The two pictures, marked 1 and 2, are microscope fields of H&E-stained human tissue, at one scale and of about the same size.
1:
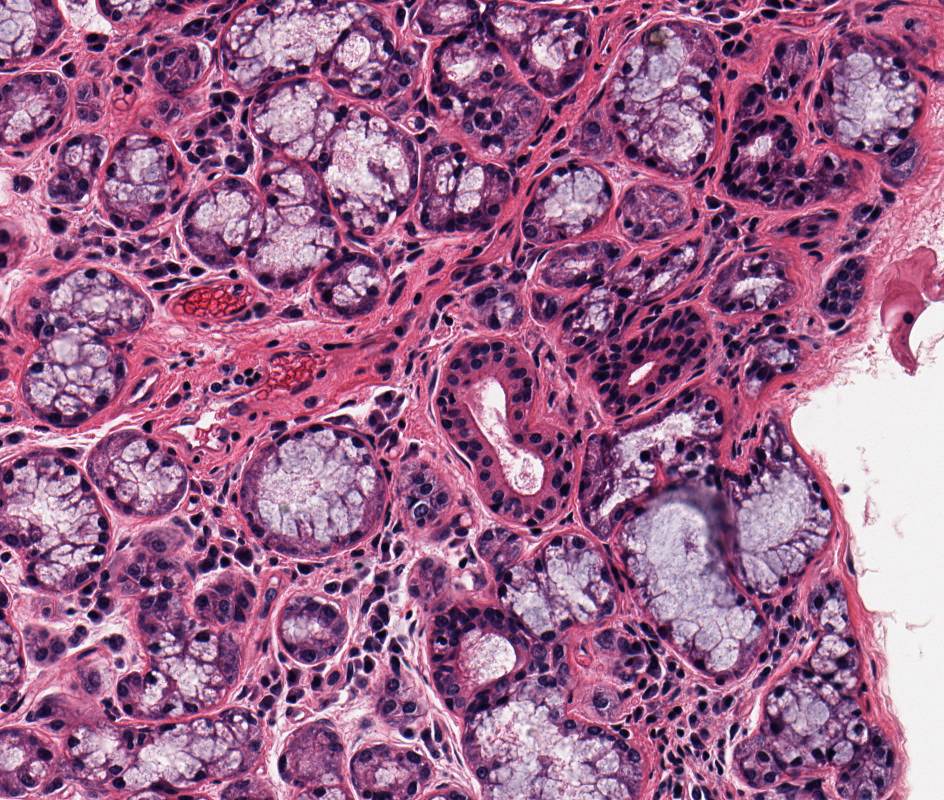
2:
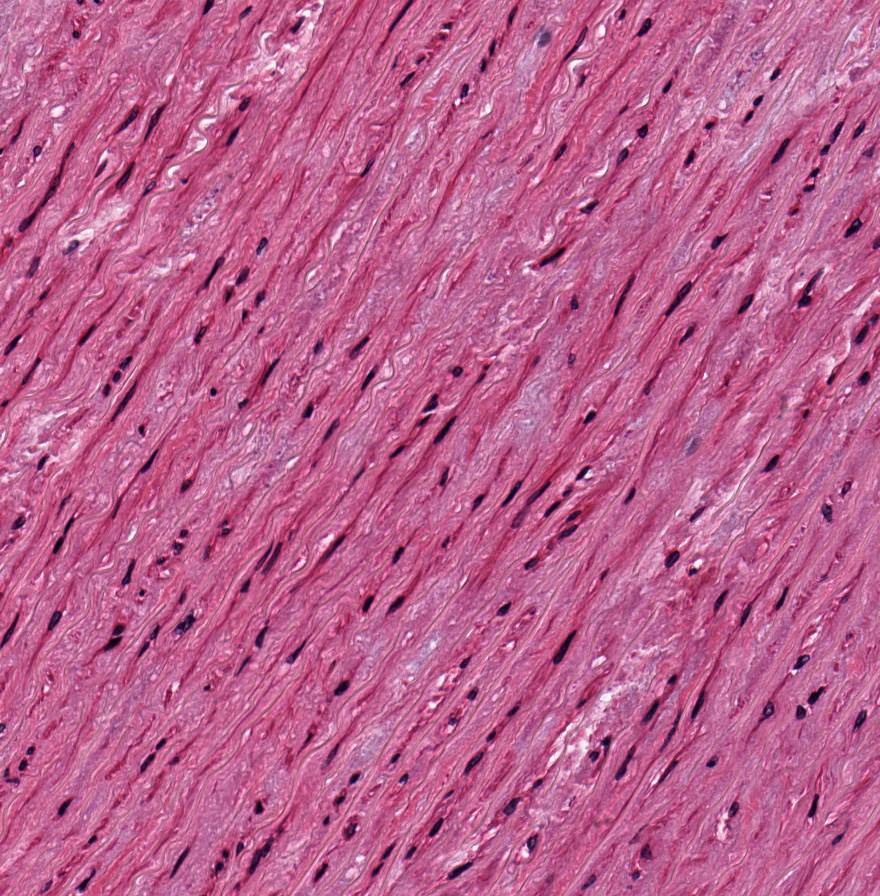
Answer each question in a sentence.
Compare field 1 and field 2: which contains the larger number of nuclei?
Field 1 holds more nuclei than field 2.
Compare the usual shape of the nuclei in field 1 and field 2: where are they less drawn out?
On the whole the nuclei of field 1 are rounder than those of field 2.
